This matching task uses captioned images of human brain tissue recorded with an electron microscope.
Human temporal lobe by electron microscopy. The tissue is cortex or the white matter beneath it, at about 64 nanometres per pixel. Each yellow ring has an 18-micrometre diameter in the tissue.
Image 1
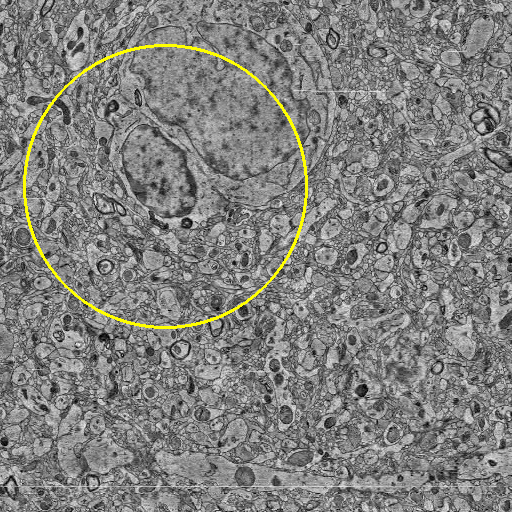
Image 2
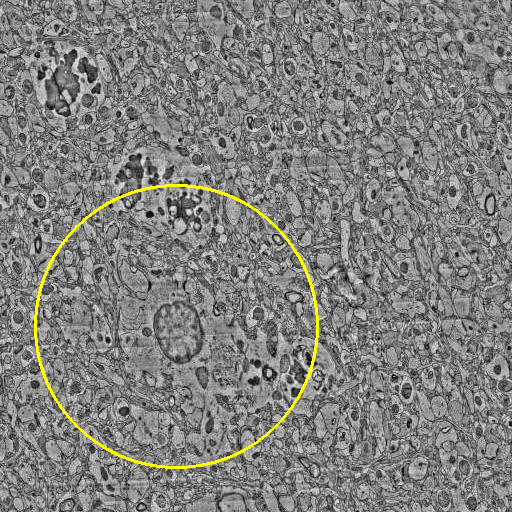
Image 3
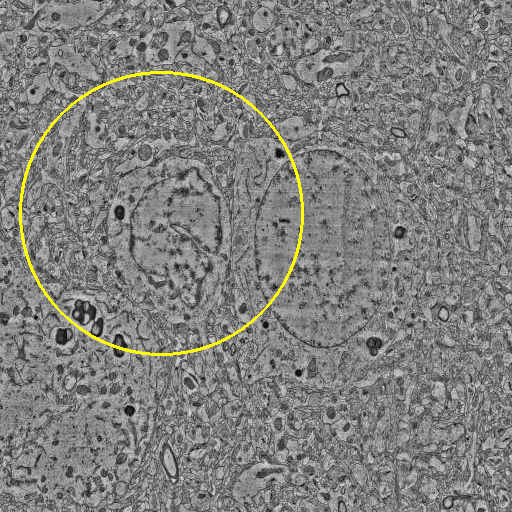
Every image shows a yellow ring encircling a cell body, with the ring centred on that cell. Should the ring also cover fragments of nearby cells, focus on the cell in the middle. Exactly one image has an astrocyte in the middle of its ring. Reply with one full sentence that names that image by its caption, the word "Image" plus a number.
Image 2 shows the cell in question at the centre of its yellow ring.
